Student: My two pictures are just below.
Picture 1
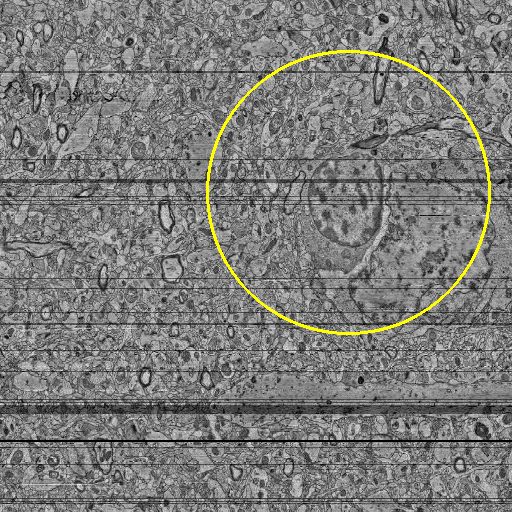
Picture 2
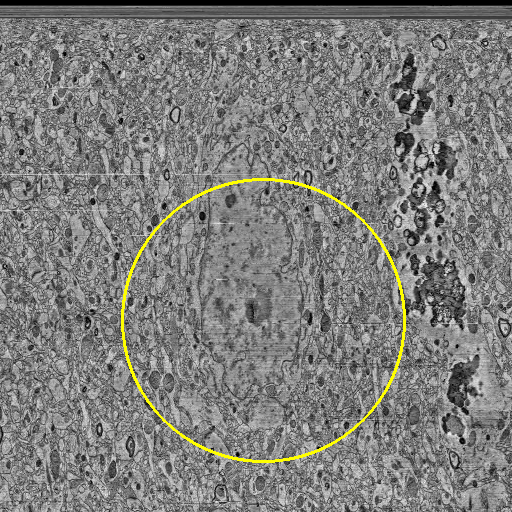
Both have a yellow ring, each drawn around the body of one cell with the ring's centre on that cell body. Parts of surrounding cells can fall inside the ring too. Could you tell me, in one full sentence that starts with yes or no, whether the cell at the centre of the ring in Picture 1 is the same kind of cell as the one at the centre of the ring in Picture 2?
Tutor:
No, the two cells are of two kinds.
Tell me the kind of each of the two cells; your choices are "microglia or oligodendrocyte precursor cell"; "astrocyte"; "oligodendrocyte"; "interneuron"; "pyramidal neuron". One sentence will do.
The ringed cell is an oligodendrocyte in the first picture and an interneuron in the second picture.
